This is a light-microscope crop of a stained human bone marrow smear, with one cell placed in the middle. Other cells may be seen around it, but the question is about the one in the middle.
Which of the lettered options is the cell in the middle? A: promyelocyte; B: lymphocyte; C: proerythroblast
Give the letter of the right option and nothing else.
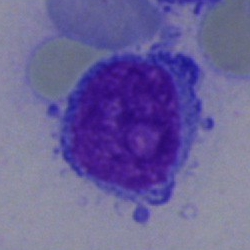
B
